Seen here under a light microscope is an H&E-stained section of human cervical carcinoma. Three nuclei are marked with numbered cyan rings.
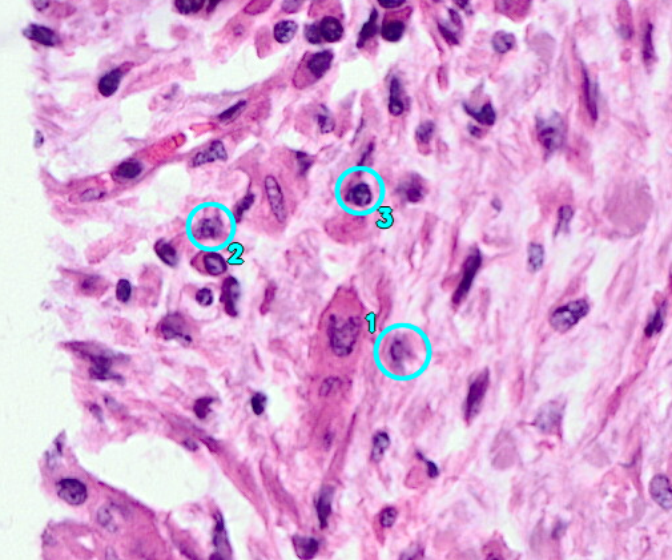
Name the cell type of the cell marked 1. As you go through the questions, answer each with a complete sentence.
Corresponding to a fibroblast is the cell labelled 1.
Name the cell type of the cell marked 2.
The numbered cell 2 is identified here as a macrophage or monocyte.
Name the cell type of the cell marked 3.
Cell 3 in the field of view is a lymphocyte.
